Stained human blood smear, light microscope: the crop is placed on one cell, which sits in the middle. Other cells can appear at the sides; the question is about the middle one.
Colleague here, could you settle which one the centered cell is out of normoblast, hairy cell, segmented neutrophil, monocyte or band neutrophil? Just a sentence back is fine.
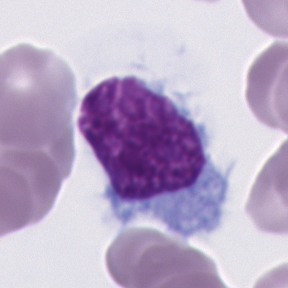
The middle of this crop holds a hairy cell.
